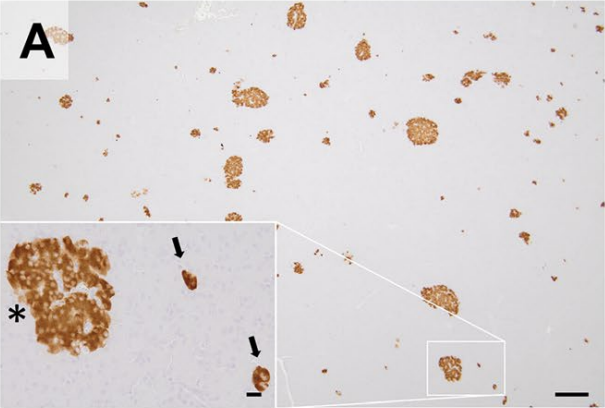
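At low power, brown clusters of very different sizes are scattered across the section: some are large and rounded, many more are small specks. The enlarged inset shows one large cluster, an islet, made of many tightly packed brown cells with a lobed outline. The surrounding tissue is pale, and its cell outlines are faint.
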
